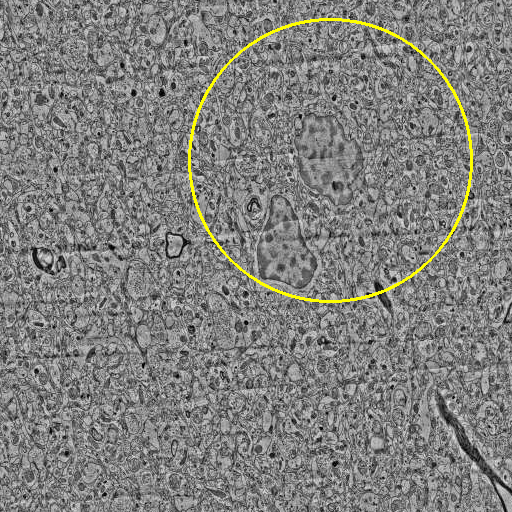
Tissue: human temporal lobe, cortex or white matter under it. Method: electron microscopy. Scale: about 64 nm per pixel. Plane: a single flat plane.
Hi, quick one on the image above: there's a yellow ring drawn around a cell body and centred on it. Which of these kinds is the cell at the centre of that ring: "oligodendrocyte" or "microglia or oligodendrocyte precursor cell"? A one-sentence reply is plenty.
The cell at the centre of the ring is an oligodendrocyte.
